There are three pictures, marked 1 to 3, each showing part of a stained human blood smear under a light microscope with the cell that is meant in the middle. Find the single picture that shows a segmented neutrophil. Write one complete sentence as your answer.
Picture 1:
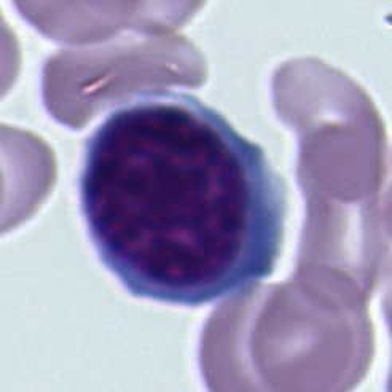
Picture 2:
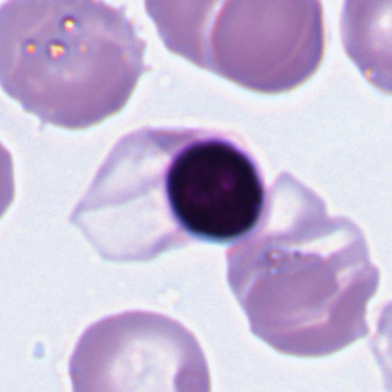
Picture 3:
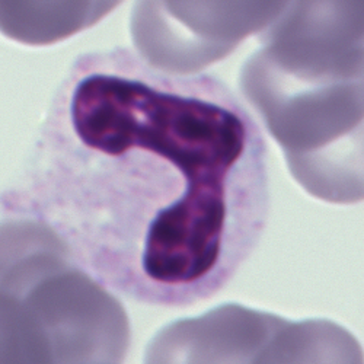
It is picture 3 that shows the segmented neutrophil.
